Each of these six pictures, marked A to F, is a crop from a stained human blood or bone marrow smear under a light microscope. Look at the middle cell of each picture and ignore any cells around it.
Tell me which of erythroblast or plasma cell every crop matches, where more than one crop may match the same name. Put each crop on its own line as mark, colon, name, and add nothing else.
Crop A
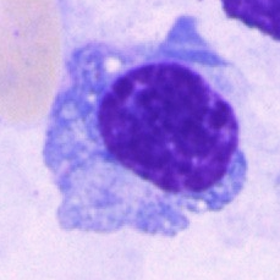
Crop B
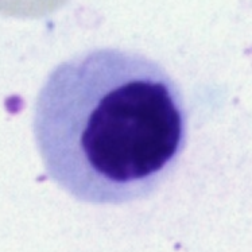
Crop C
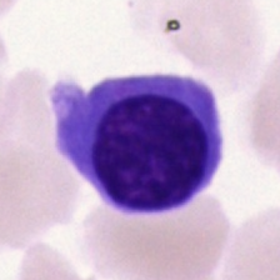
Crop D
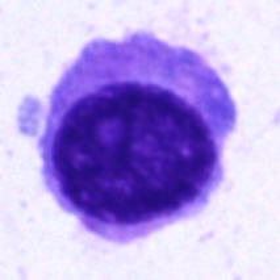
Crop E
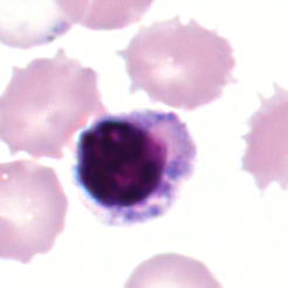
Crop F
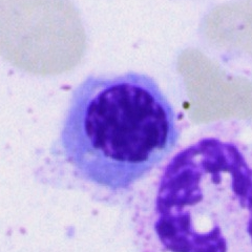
A: plasma cell
B: erythroblast
C: plasma cell
D: plasma cell
E: erythroblast
F: erythroblast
